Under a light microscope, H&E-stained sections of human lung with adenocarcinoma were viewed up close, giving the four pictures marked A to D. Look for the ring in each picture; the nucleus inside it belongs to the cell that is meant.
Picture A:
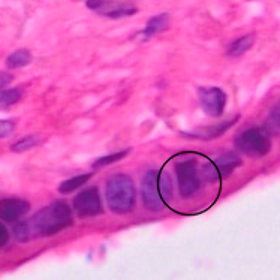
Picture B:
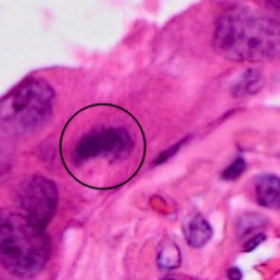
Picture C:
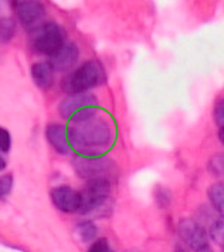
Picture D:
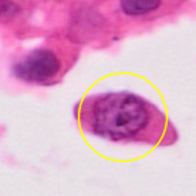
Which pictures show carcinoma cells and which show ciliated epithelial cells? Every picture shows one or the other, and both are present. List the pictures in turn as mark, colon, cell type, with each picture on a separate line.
A: ciliated epithelial cell
B: carcinoma cell
C: ciliated epithelial cell
D: carcinoma cell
